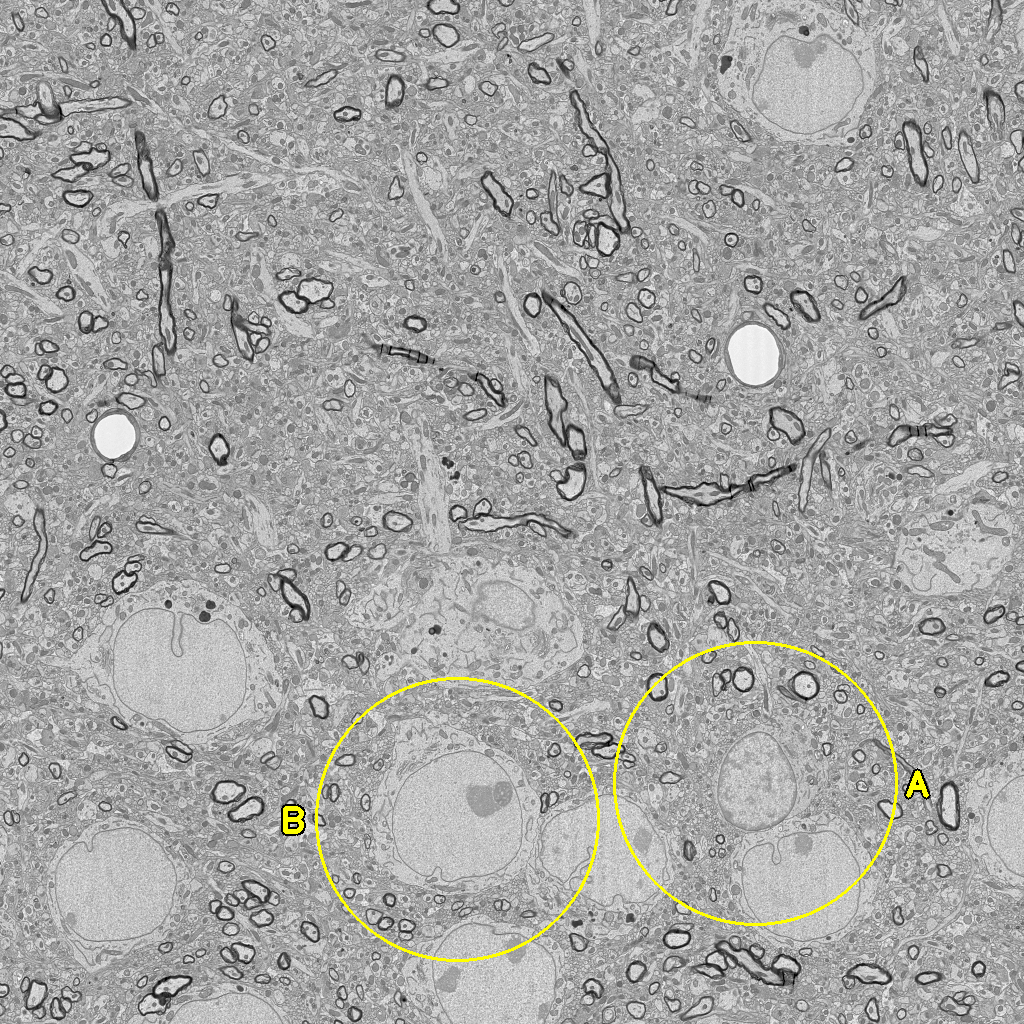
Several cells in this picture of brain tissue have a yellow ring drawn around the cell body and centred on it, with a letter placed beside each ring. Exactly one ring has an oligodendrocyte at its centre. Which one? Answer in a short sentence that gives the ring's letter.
Ring A is centred on it.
